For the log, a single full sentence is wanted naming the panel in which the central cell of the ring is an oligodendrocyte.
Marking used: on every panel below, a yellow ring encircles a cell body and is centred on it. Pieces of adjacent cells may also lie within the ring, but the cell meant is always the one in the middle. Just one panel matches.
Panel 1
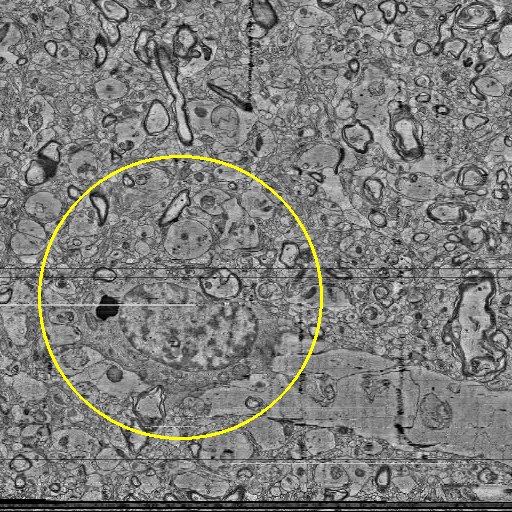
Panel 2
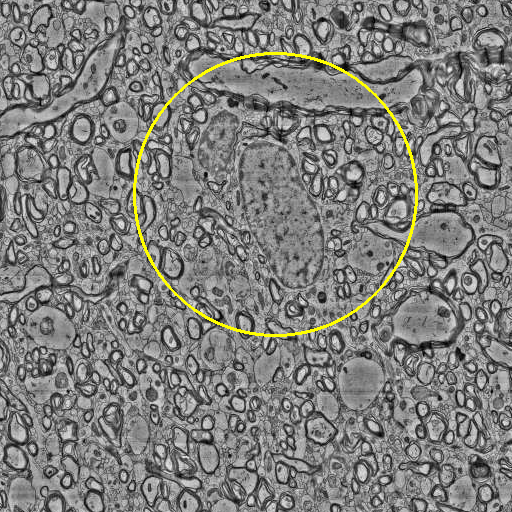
The cell in the middle of the ring in panel 1 is the one asked for.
